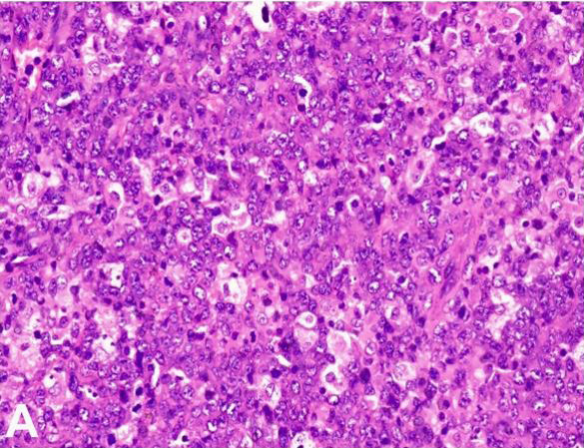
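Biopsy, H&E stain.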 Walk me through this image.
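This field shows a solid sheet of large, atypical cells filling the tissue without any recognisable normal architecture. The large cells have round to irregular nuclei, some with indentations, pale open chromatin and distinct dark nucleoli. Their cytoplasm is moderate in amount and pink to purplish. Scattered among them are smaller cells with compact dark nuclei. A few cells with clear, pale cytoplasm stand out within the sheet.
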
